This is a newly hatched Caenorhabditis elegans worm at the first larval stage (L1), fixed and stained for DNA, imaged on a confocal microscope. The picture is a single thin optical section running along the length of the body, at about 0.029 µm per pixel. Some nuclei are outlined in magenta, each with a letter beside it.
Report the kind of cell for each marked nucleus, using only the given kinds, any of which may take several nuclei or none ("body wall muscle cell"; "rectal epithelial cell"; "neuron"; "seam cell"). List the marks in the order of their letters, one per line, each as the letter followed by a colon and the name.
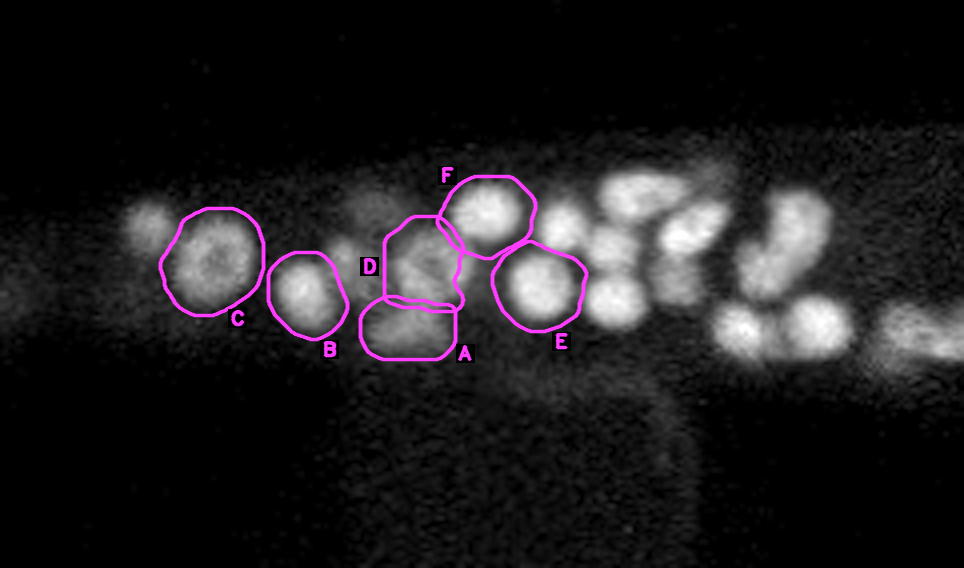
A: body wall muscle cell
B: neuron
C: seam cell
D: seam cell
E: neuron
F: neuron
